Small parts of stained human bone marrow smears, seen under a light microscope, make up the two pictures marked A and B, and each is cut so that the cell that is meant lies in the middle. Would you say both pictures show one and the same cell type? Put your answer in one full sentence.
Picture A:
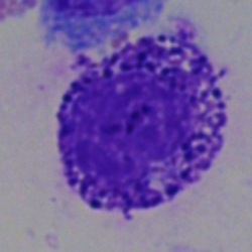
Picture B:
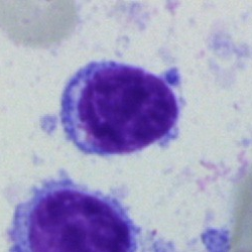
No, they differ: the cell is a basophil in picture A and a lymphocyte in picture B.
